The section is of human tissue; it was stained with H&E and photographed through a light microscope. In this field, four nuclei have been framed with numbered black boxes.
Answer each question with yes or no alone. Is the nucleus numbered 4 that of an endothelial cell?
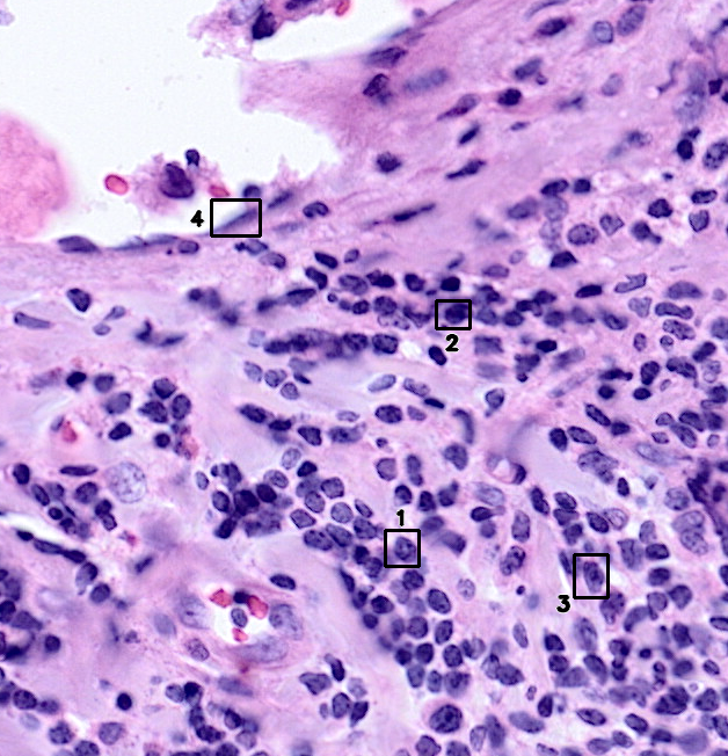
yes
